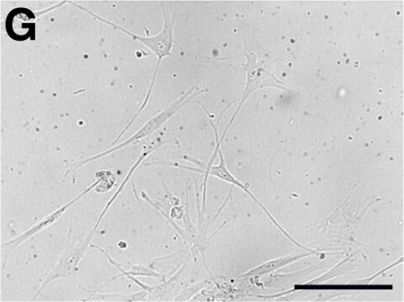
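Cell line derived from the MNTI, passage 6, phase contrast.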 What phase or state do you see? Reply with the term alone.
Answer: Fibroblast-like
